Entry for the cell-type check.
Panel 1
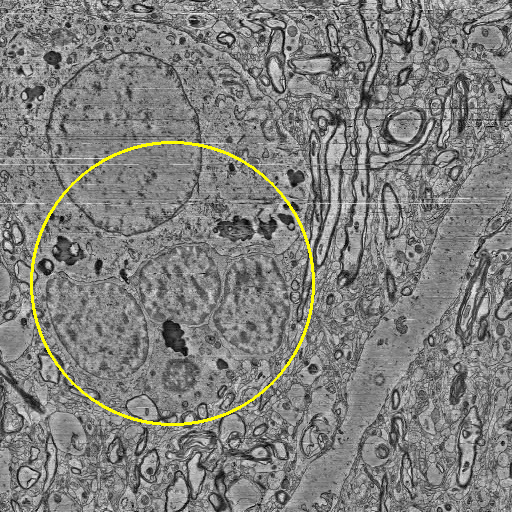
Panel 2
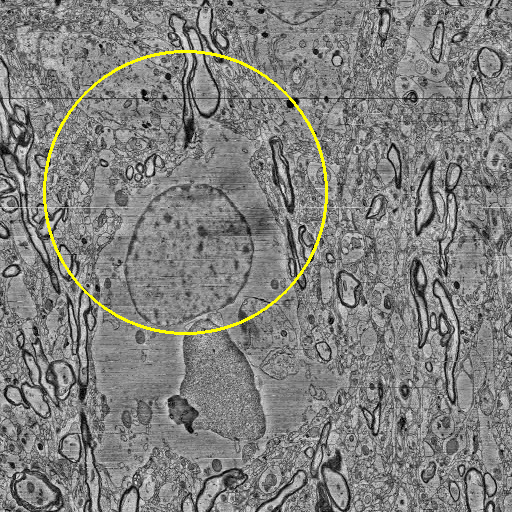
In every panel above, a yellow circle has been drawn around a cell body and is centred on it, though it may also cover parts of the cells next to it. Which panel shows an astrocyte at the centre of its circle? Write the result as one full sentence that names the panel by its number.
Panel 2 shows it at the centre of its circle.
